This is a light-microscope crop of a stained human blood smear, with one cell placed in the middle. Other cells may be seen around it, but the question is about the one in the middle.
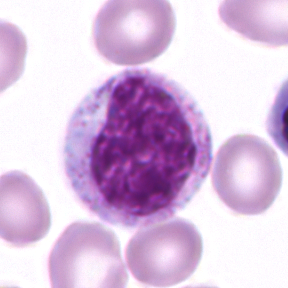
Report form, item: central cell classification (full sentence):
The cell at the central position in this crop is a metamyelocyte.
